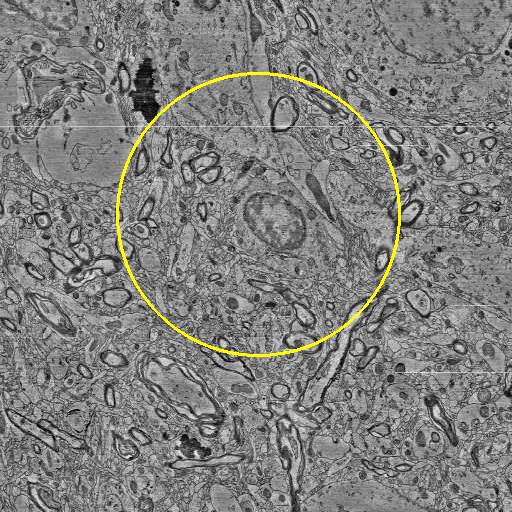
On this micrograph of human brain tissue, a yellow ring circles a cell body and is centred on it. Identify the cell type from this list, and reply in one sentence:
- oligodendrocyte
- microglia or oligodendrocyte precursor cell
The cell at the centre is an oligodendrocyte.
